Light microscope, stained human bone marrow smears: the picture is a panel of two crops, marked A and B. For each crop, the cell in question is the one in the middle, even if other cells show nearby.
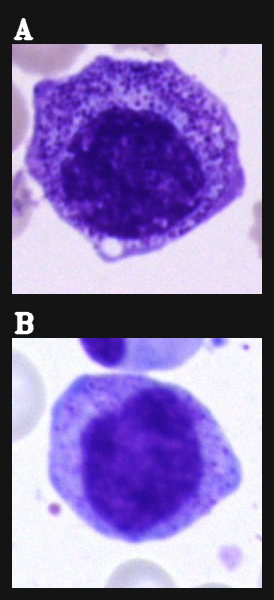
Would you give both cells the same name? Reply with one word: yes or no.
yes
